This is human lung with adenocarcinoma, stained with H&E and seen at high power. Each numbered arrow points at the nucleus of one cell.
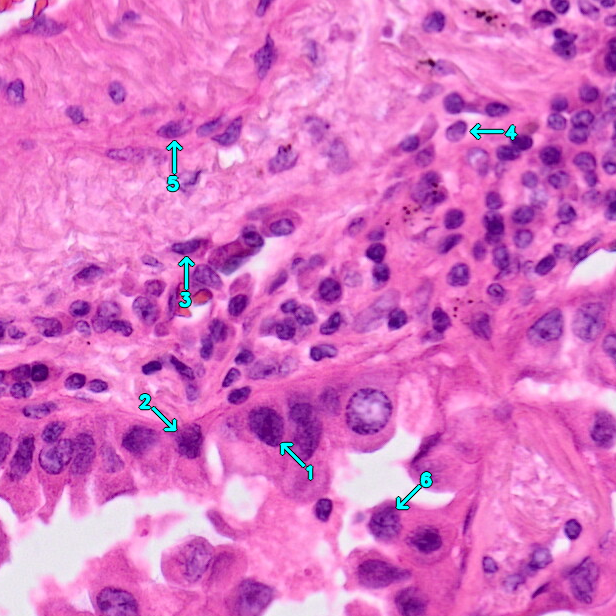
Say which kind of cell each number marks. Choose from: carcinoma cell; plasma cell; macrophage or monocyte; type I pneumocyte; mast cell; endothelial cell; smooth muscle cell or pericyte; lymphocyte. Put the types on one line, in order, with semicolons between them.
carcinoma cell; carcinoma cell; plasma cell; lymphocyte; smooth muscle cell or pericyte; carcinoma cell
